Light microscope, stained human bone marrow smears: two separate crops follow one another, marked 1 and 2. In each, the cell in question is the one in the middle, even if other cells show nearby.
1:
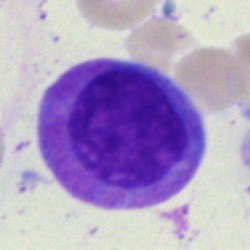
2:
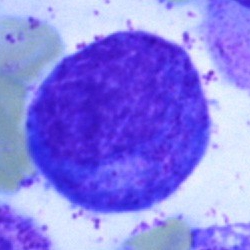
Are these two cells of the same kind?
yes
